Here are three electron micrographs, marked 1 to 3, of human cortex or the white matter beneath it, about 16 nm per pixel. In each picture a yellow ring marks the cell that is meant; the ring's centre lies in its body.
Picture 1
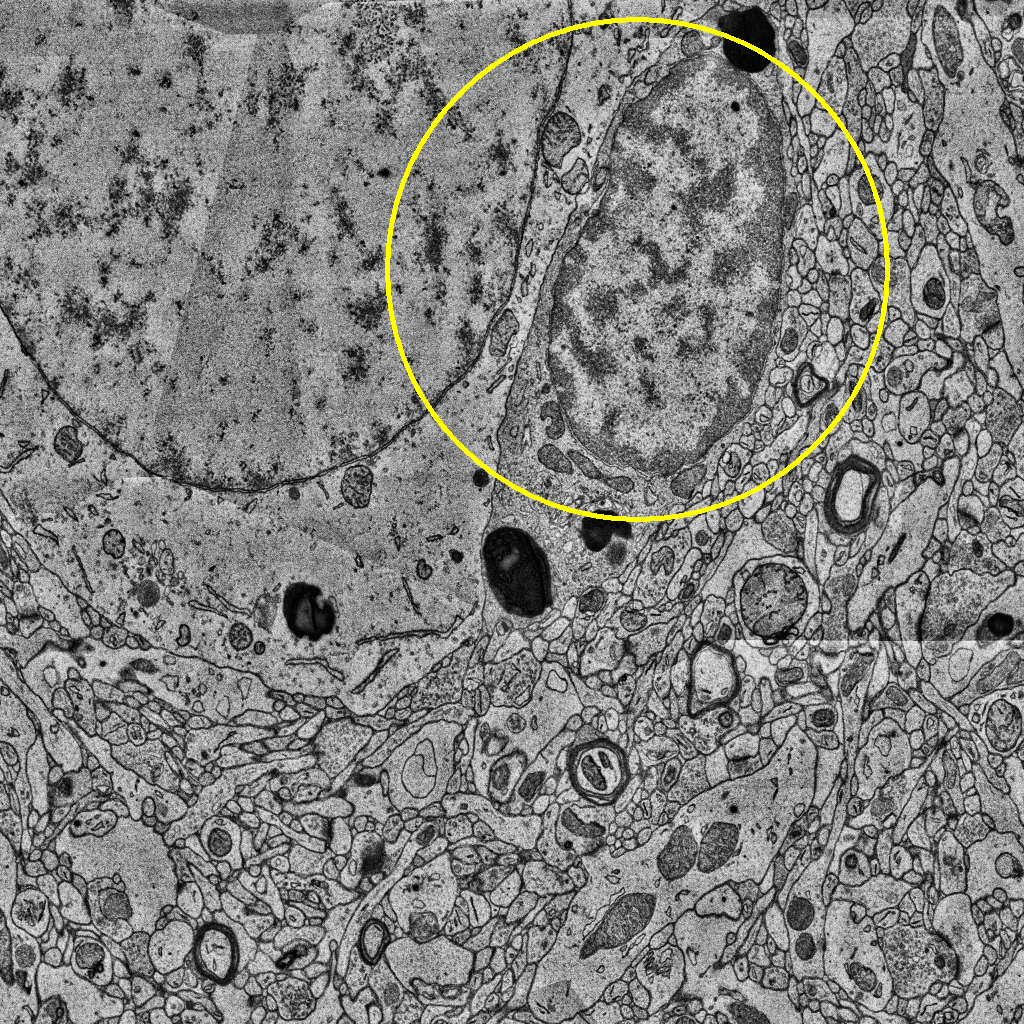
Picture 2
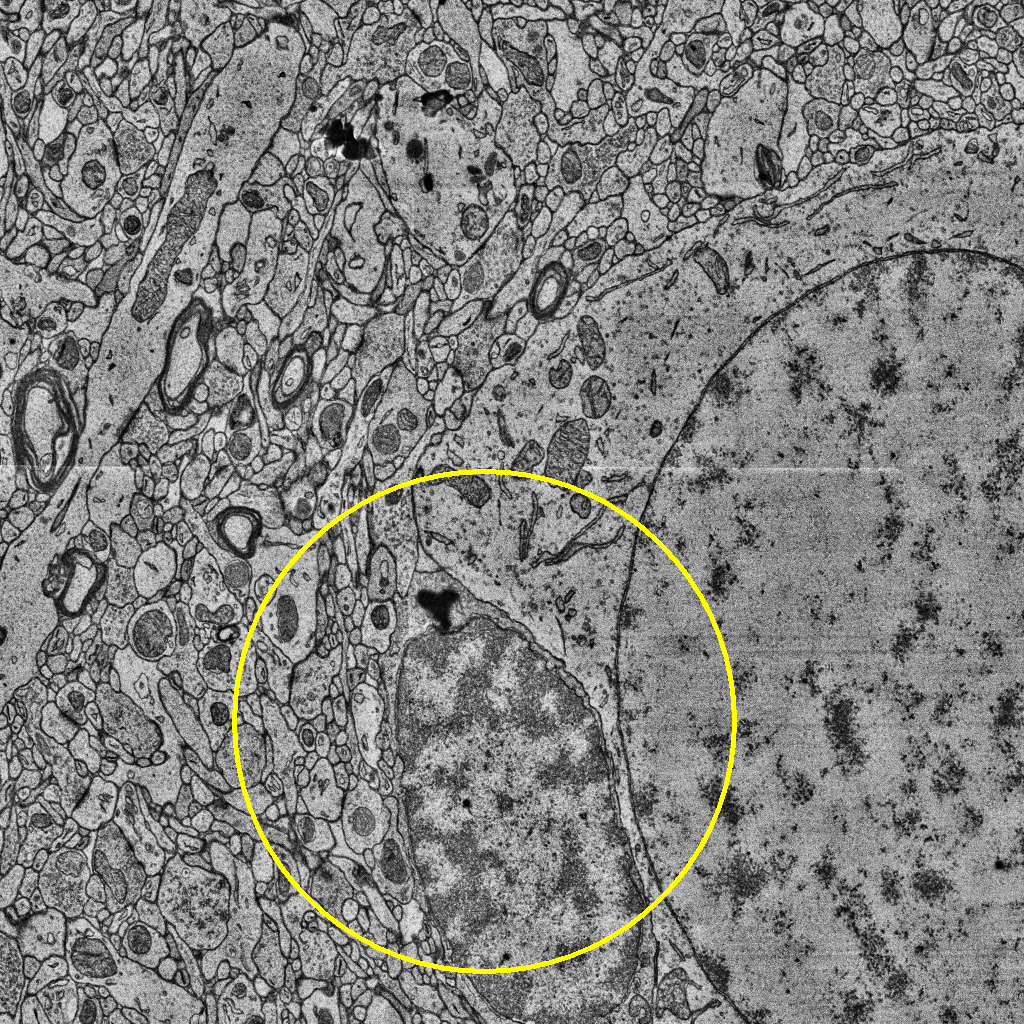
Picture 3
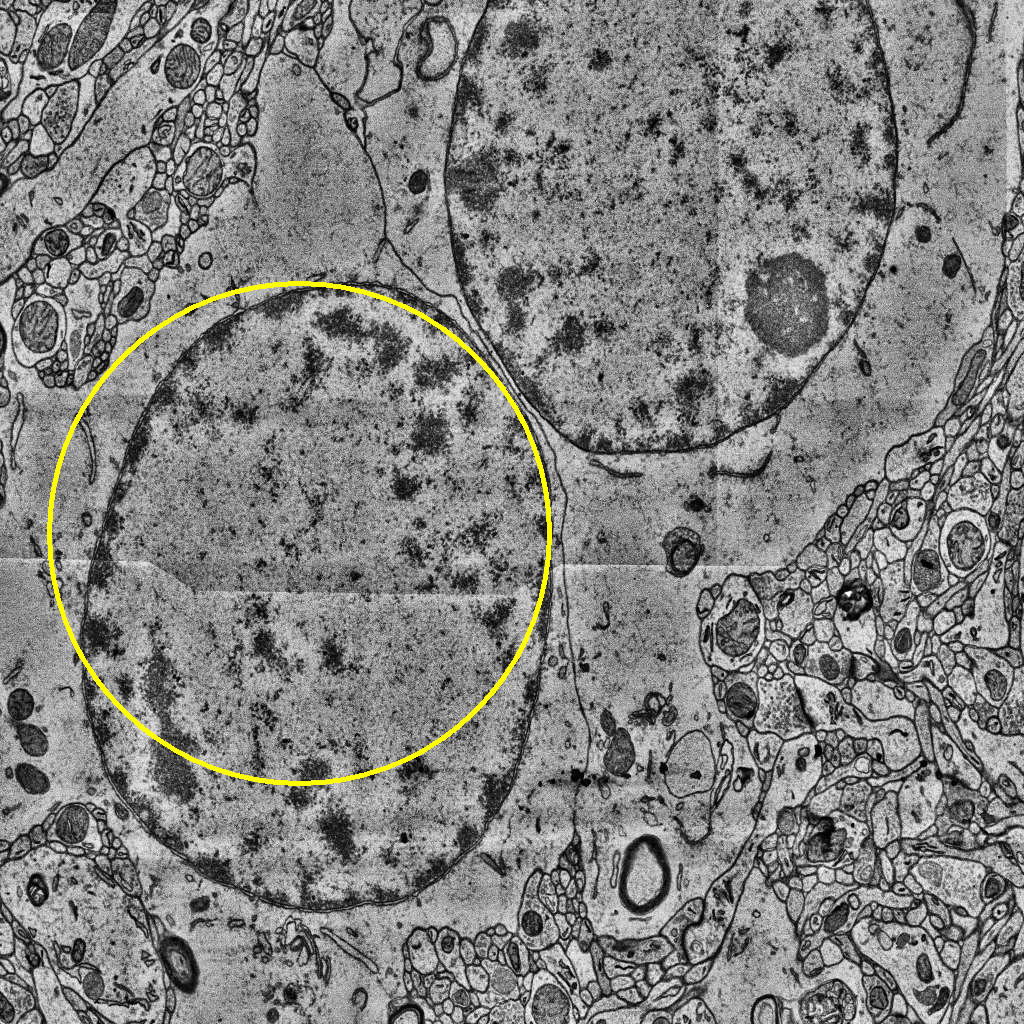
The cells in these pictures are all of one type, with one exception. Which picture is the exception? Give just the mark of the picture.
3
